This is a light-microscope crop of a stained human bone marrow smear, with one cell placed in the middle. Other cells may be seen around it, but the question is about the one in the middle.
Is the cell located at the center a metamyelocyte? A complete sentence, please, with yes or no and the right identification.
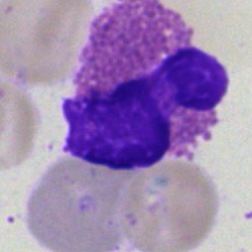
No, the central cell isn't a metamyelocyte, but an eosinophil.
